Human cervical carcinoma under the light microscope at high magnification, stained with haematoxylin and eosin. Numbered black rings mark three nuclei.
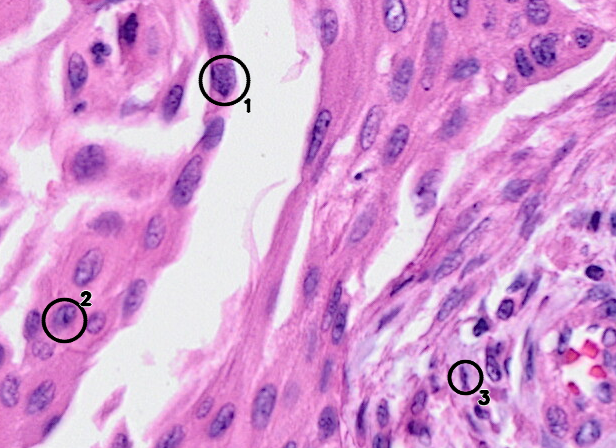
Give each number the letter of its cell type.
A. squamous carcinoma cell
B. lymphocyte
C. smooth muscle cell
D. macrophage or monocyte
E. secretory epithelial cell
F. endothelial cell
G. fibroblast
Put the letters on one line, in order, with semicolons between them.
A; A; G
